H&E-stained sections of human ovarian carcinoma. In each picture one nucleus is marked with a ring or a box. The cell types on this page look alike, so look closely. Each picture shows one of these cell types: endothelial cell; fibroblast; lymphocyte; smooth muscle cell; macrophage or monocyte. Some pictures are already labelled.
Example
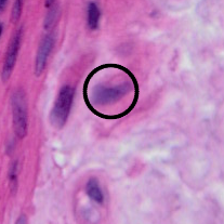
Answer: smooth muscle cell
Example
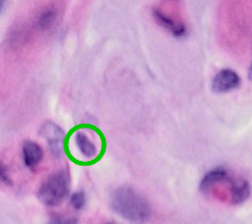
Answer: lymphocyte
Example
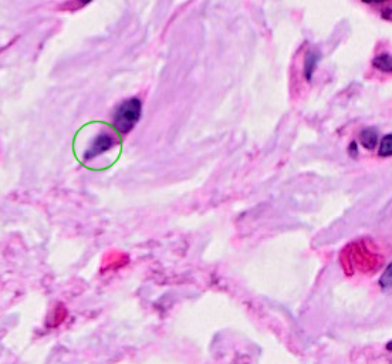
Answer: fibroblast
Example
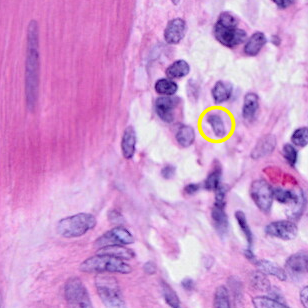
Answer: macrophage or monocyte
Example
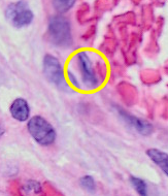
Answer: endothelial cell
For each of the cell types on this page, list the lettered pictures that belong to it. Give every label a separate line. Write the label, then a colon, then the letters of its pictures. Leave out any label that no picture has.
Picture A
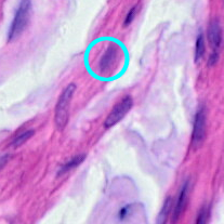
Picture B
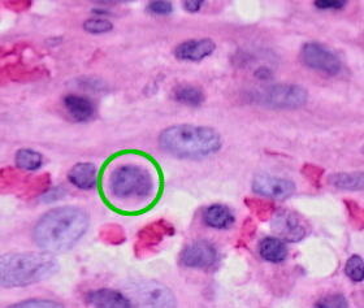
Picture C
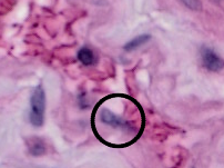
endothelial cell: C
smooth muscle cell: A
macrophage or monocyte: B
